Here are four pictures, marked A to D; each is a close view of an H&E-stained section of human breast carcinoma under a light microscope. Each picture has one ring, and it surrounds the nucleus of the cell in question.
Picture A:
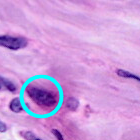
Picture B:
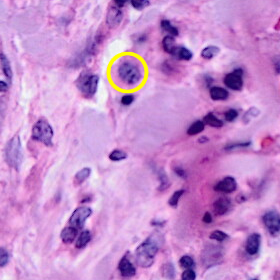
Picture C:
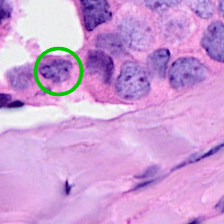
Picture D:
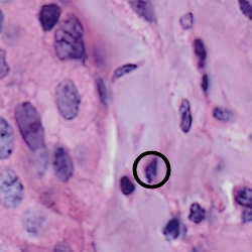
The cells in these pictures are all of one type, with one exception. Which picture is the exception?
C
